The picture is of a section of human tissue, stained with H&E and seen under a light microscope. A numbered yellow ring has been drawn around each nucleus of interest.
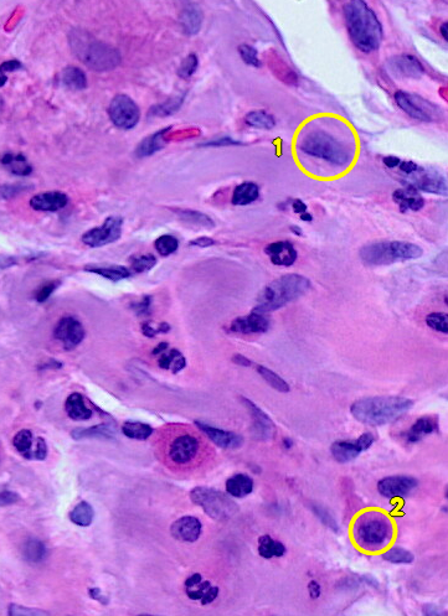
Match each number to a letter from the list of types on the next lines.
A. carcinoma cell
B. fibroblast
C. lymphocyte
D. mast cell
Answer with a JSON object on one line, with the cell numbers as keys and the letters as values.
{"1": "B", "2": "D"}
